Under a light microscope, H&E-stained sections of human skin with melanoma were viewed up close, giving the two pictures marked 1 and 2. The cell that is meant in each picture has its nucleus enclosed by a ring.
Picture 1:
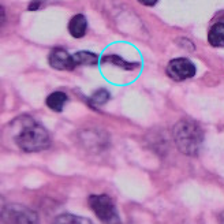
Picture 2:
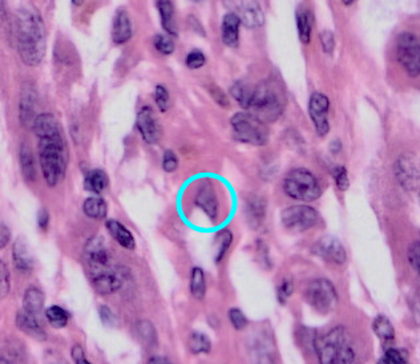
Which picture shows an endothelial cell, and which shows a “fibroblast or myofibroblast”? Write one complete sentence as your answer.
Picture 1 shows a “fibroblast or myofibroblast” and picture 2 shows an endothelial cell.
